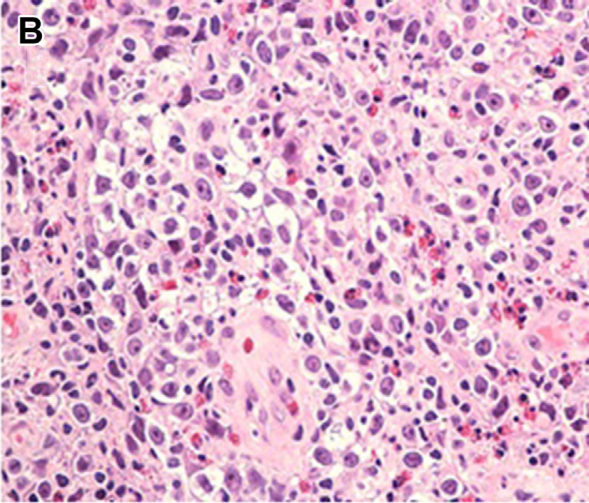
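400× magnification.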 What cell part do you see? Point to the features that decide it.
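Large, prominent nucleoli. Large cells have big vesicular nuclei with conspicuous dark nucleoli. Nuclear outlines of the large cells are uneven. Small lymphocytes and red-granular eosinophils lie between the large cells.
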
